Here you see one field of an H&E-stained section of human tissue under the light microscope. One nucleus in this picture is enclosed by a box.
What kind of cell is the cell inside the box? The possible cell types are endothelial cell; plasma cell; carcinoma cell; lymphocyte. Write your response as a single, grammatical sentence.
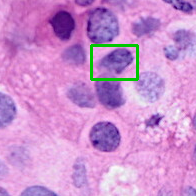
In cell-type terms, the cell inside the box is a carcinoma cell.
